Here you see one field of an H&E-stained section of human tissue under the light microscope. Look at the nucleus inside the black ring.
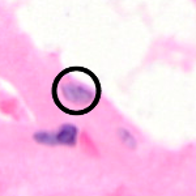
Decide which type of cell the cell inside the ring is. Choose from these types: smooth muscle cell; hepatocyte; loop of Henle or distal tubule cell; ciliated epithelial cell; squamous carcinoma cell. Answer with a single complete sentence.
Students should answer that the cell inside the ring is a loop of Henle or distal tubule cell.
